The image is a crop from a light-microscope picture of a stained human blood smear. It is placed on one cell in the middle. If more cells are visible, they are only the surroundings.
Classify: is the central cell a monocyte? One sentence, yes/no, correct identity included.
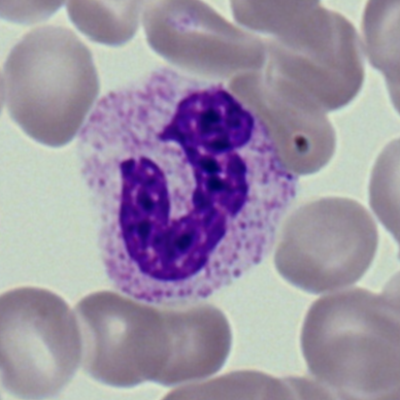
No, the central cell is not to be called a monocyte, being a band neutrophil.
